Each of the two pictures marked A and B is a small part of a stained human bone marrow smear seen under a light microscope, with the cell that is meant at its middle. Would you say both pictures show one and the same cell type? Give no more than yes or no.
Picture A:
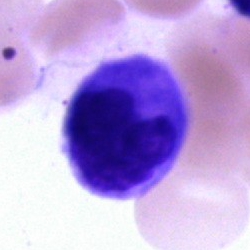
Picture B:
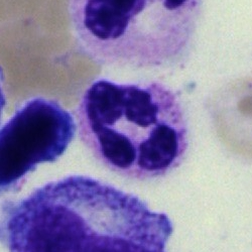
no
